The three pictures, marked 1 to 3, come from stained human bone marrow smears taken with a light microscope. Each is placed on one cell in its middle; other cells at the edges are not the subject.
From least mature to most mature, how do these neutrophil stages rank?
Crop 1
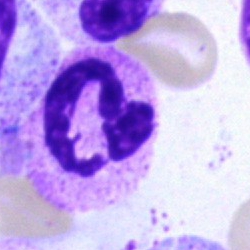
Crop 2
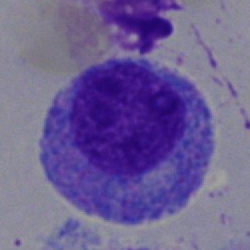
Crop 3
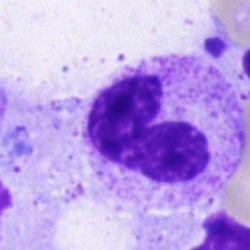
2, 3, 1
